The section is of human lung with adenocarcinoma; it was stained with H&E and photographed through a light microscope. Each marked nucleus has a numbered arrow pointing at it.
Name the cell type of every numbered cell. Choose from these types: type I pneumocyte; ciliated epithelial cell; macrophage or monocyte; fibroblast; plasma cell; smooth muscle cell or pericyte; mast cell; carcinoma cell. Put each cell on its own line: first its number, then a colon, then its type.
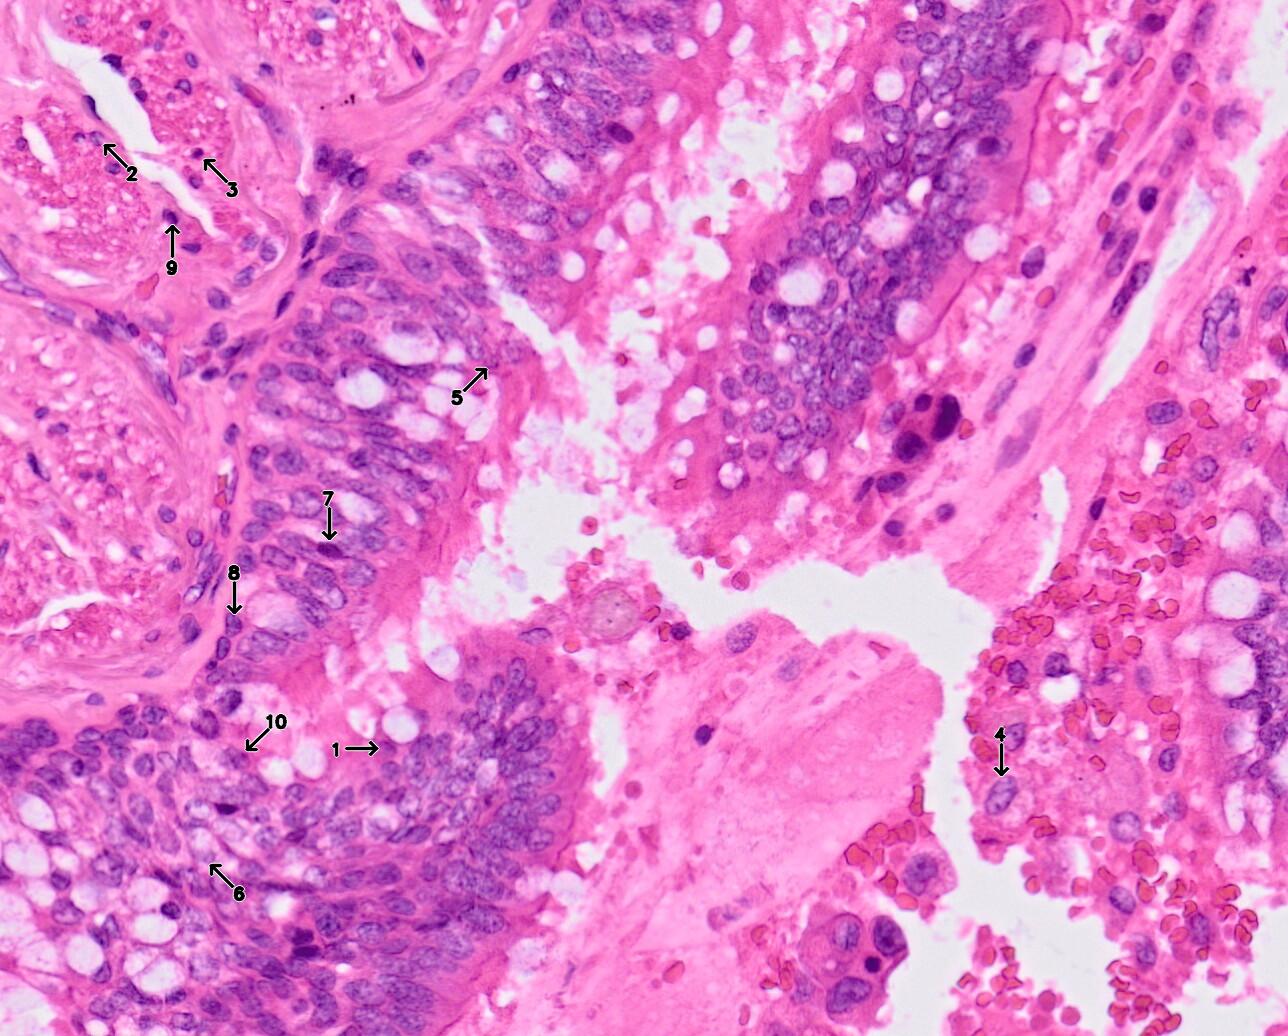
1: ciliated epithelial cell
2: smooth muscle cell or pericyte
3: smooth muscle cell or pericyte
4: macrophage or monocyte
5: ciliated epithelial cell
6: ciliated epithelial cell
7: ciliated epithelial cell
8: ciliated epithelial cell
9: smooth muscle cell or pericyte
10: ciliated epithelial cell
